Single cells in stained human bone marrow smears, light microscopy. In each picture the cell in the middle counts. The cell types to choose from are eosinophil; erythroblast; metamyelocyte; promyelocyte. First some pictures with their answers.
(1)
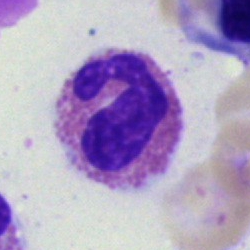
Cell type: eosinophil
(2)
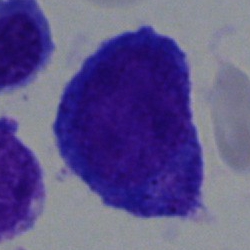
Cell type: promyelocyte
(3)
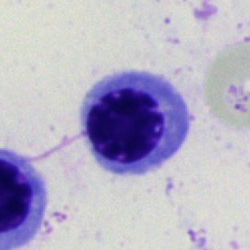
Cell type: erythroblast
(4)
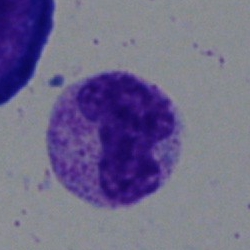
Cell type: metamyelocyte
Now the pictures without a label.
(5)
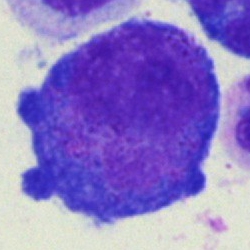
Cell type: promyelocyte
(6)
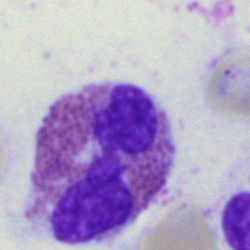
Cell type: eosinophil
